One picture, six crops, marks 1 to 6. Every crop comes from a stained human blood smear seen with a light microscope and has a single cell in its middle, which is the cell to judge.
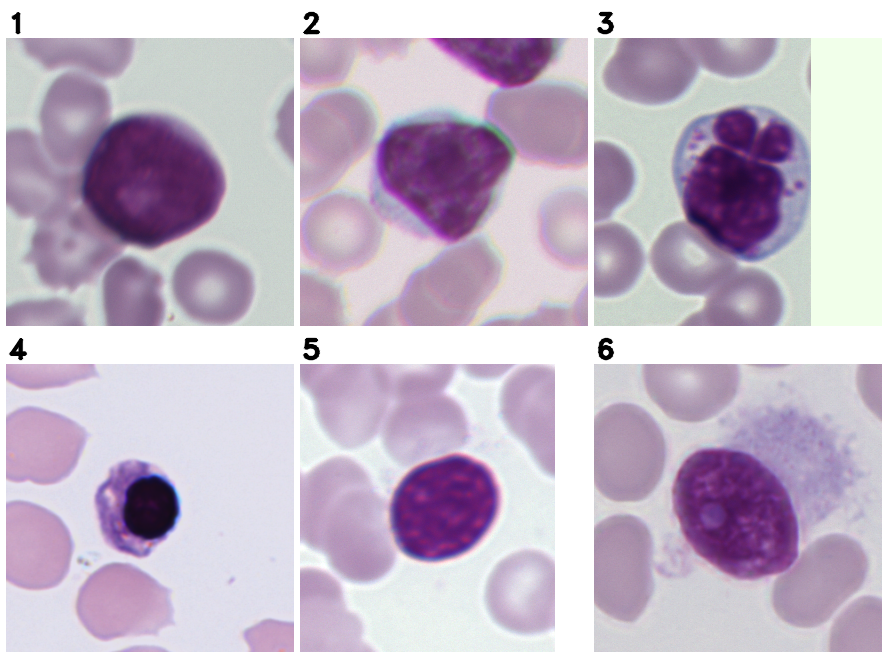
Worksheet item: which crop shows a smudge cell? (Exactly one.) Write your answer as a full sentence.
Of these crops, it is crop 5 that shows a smudge cell.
